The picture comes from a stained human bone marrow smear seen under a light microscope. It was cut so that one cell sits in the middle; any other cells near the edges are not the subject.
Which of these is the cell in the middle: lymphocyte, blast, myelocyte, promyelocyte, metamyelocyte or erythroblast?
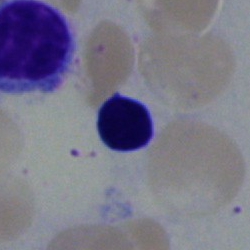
erythroblast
